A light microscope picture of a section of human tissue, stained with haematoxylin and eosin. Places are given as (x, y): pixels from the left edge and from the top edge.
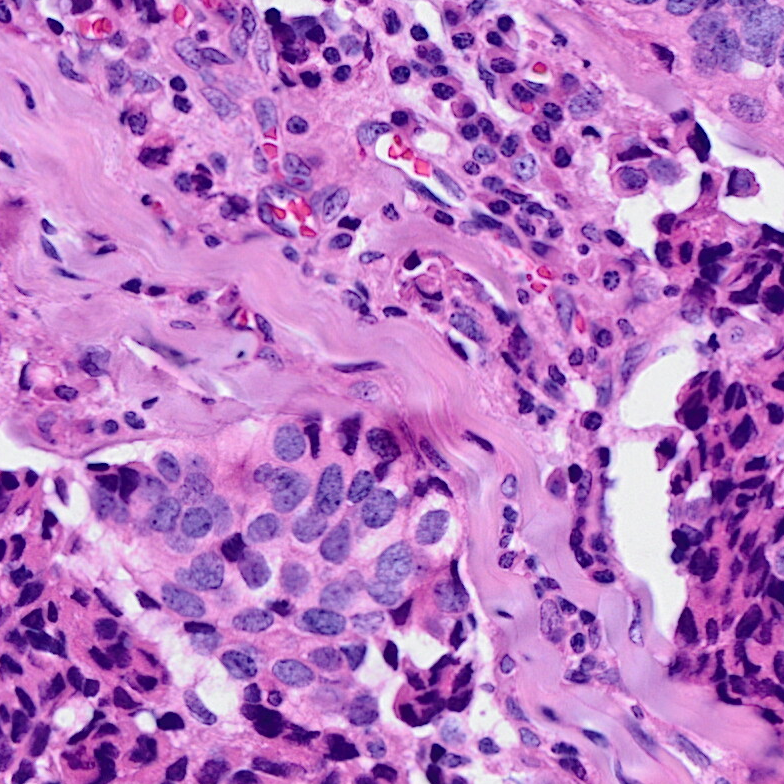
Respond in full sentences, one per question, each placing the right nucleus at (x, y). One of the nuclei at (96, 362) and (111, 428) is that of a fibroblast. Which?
As for which of the two, the nucleus at (96, 362) belongs to a fibroblast.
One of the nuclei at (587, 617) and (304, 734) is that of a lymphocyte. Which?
It is at (587, 617) that the nucleus of a lymphocyte is found.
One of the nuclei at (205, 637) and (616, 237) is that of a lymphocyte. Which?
As for which of the two, the nucleus at (616, 237) belongs to a lymphocyte.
